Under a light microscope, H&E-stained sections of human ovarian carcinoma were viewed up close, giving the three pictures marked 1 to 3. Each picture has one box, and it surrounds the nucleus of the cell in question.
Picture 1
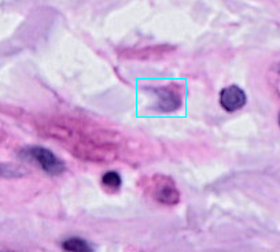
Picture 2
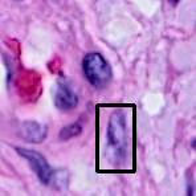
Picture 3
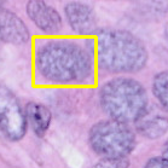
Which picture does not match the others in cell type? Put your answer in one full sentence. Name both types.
Unlike the rest, which show fibroblasts, picture 3 shows a carcinoma cell.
